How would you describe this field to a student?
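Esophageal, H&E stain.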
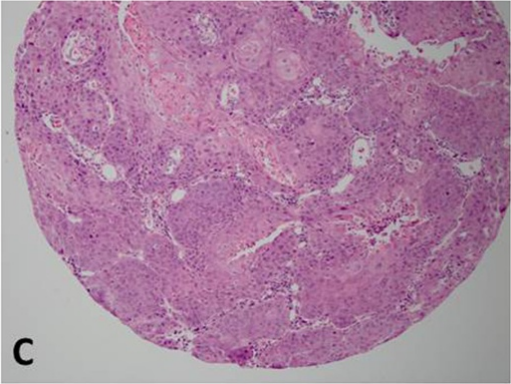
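This is squamous cell carcinoma, in which the normal layered arrangement is replaced by irregular nests and sheets of tumour cells. The cells have pink cytoplasm and crowded, darker nuclei. In the upper part of the field some nests contain round, concentric pink whorls of keratinizing cells. Thin strands of stroma with scattered small dark inflammatory cells and vessels separate the nests.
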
